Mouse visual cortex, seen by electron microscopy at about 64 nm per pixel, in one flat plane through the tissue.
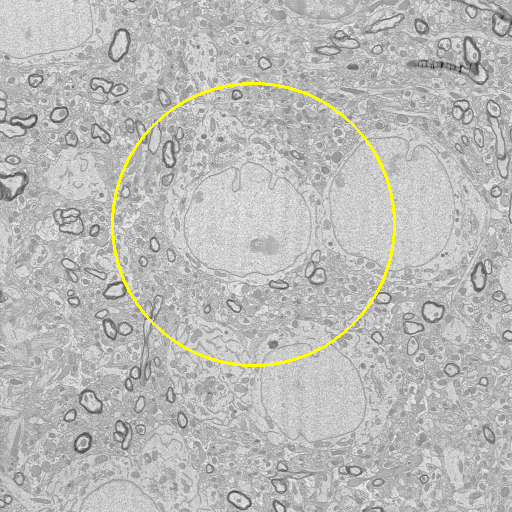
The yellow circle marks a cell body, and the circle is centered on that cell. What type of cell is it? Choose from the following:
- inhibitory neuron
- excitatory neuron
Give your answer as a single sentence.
This cell body belongs to an excitatory neuron.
